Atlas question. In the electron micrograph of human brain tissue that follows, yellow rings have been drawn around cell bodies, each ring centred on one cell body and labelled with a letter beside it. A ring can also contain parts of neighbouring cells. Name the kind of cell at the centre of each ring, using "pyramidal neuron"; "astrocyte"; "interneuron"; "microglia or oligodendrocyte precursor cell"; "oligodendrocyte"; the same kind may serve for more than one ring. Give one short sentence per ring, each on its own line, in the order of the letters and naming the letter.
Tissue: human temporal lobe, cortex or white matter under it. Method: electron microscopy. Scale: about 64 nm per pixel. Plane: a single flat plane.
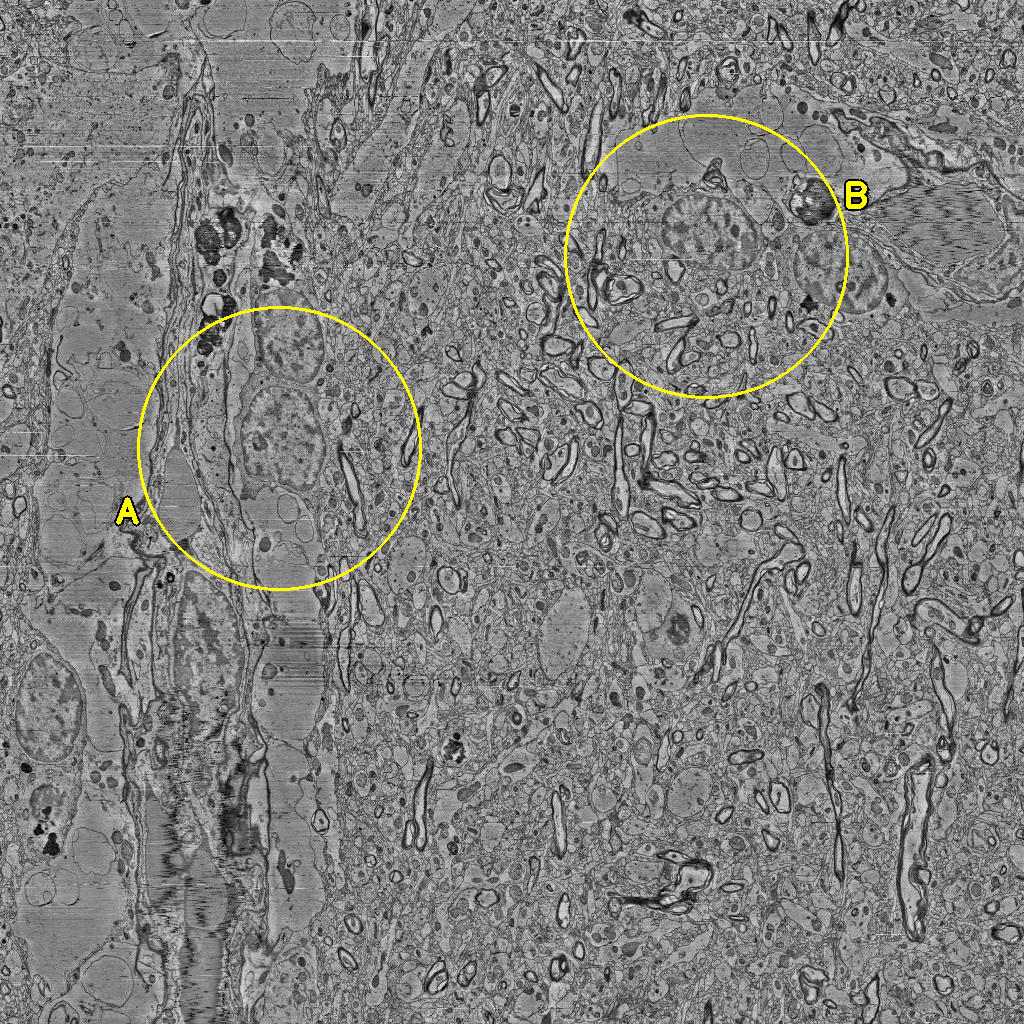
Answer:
For ring A, the cell at the centre is an oligodendrocyte.
For ring B, the cell at the centre is an oligodendrocyte.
